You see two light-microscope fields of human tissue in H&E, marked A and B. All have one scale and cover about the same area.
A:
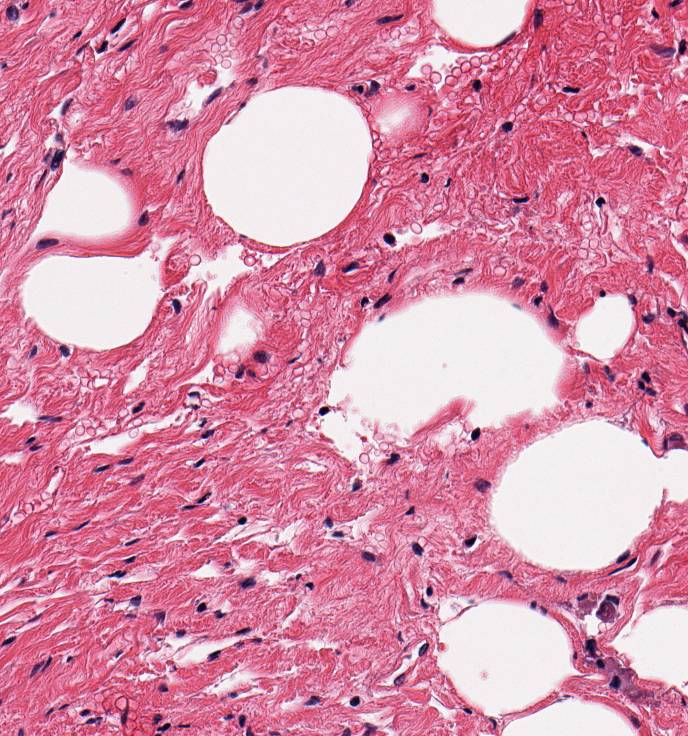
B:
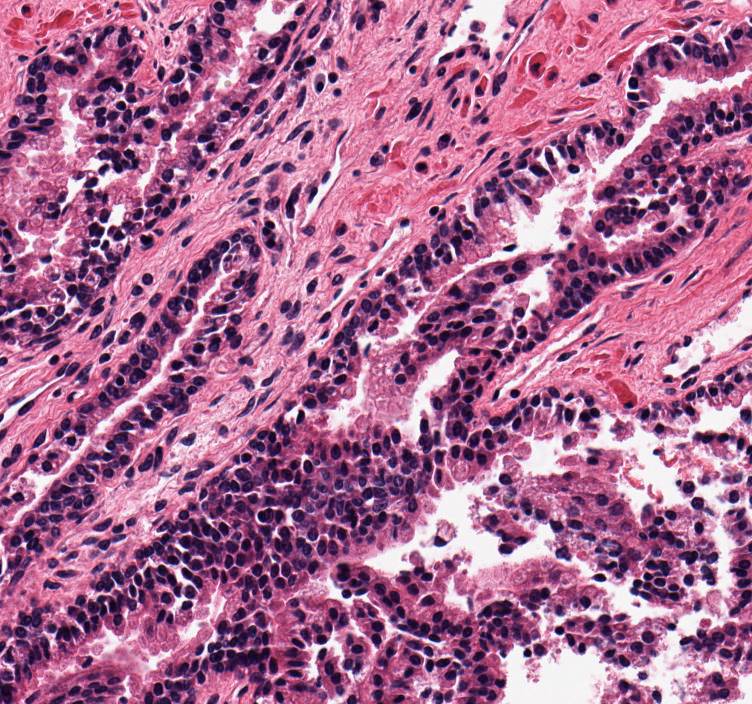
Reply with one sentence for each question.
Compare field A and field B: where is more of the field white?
Field A has more white space.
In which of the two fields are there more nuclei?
There are more nuclei in field B.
